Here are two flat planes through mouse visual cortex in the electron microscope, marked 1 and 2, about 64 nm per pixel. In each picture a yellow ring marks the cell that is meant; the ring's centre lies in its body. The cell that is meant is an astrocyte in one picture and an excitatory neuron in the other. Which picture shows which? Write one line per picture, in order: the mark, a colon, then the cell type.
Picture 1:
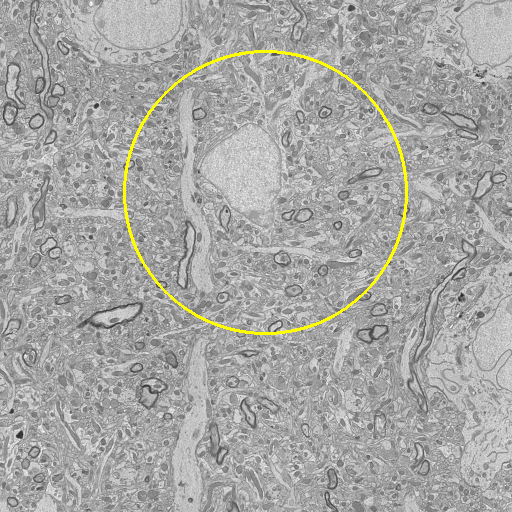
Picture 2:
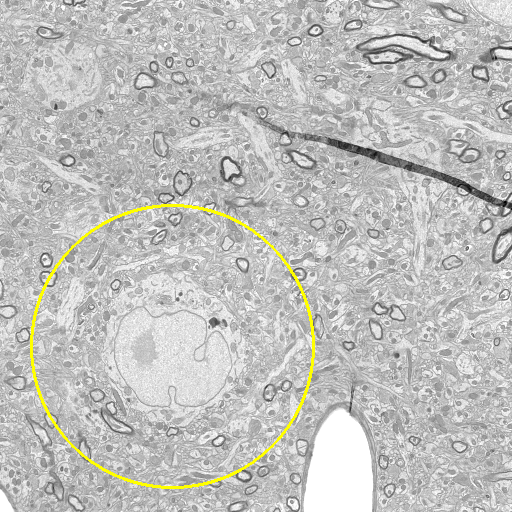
1: astrocyte
2: excitatory neuron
